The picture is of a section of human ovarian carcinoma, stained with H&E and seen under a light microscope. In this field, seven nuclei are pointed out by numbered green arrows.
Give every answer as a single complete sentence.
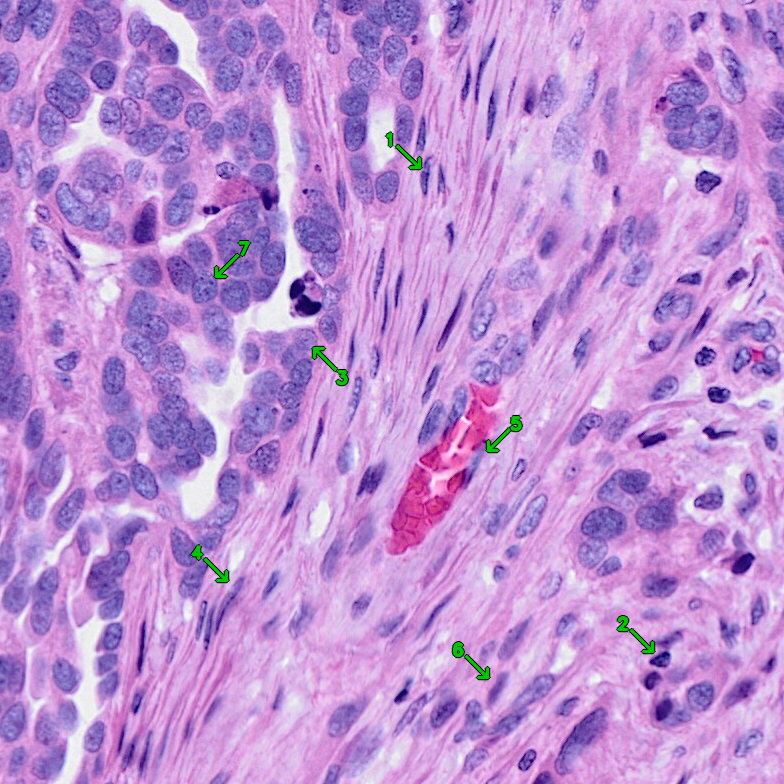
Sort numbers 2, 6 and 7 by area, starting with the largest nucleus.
From largest to smallest, the order is 7, 6, 2.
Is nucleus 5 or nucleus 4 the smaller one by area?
The smaller nucleus is 4, and 5 covers roughly 2 times its area.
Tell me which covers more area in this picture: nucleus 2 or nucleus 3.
It is nucleus 3, which covers about 1.5 times the area of nucleus 2.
